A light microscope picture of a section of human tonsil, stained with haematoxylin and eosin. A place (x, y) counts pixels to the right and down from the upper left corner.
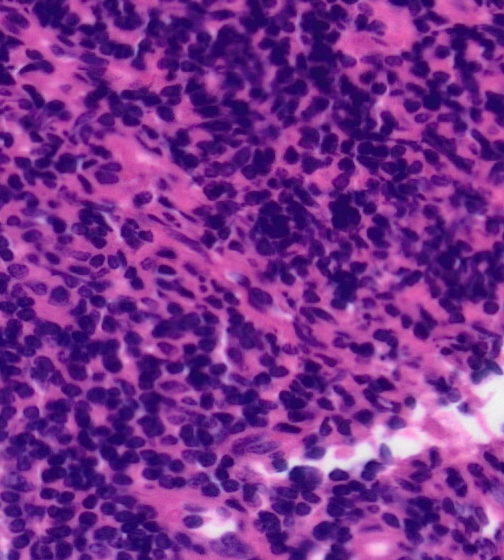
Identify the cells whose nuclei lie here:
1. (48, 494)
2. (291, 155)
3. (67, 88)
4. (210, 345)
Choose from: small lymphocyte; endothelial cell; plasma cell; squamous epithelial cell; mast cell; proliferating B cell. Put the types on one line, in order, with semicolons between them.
small lymphocyte; small lymphocyte; endothelial cell; small lymphocyte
